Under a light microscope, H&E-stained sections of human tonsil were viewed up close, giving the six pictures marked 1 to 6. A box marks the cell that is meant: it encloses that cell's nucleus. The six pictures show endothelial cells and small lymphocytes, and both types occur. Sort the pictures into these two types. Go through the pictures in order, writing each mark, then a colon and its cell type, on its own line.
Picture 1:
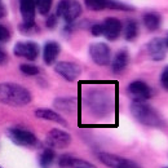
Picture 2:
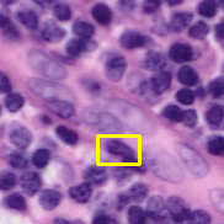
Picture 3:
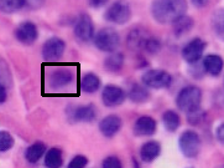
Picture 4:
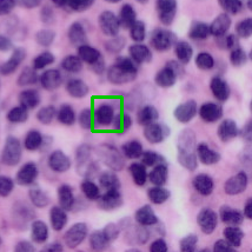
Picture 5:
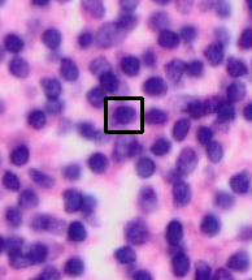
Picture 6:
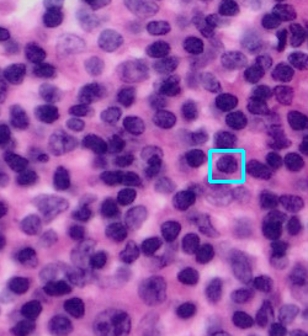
1: endothelial cell
2: endothelial cell
3: endothelial cell
4: small lymphocyte
5: small lymphocyte
6: small lymphocyte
